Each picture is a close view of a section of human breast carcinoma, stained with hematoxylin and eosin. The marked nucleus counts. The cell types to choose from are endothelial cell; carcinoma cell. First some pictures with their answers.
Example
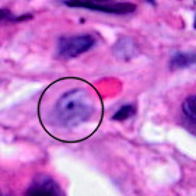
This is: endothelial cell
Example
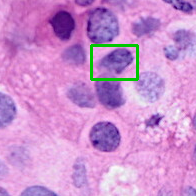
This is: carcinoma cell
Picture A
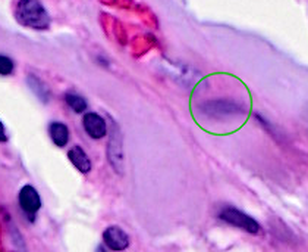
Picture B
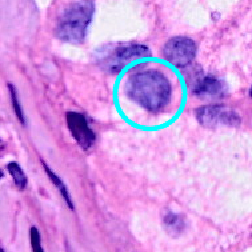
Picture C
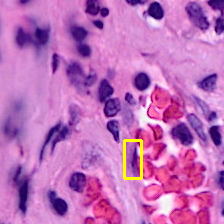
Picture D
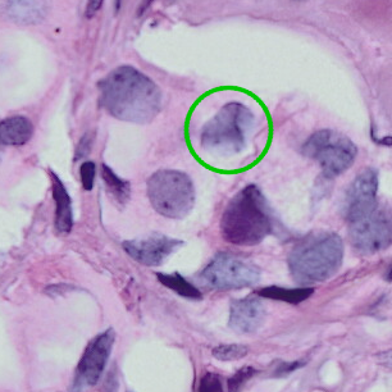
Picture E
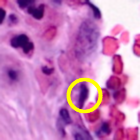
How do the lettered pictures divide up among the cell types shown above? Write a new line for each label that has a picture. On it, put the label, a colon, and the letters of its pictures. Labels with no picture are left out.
endothelial cell: A, C, E
carcinoma cell: B, D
